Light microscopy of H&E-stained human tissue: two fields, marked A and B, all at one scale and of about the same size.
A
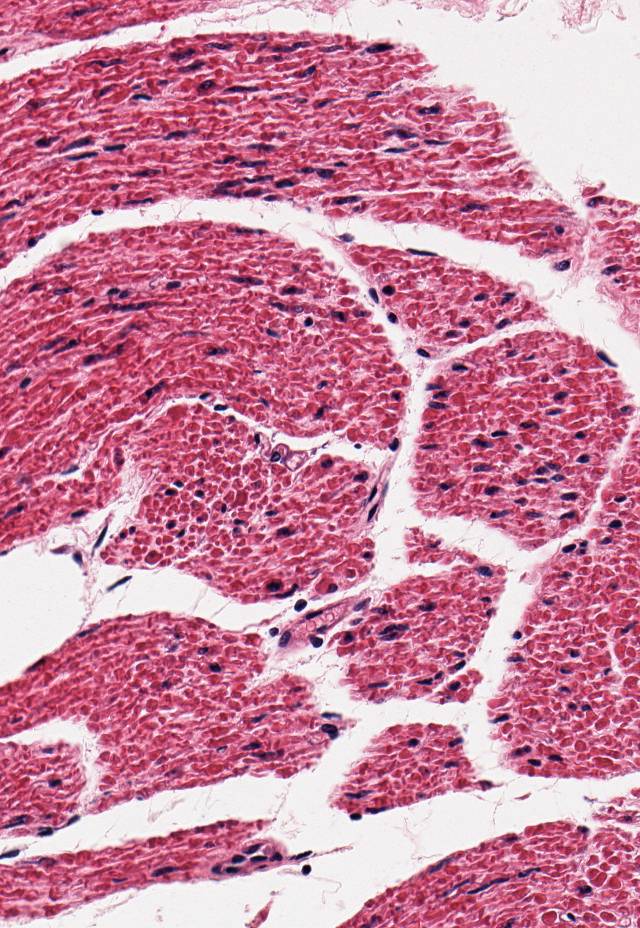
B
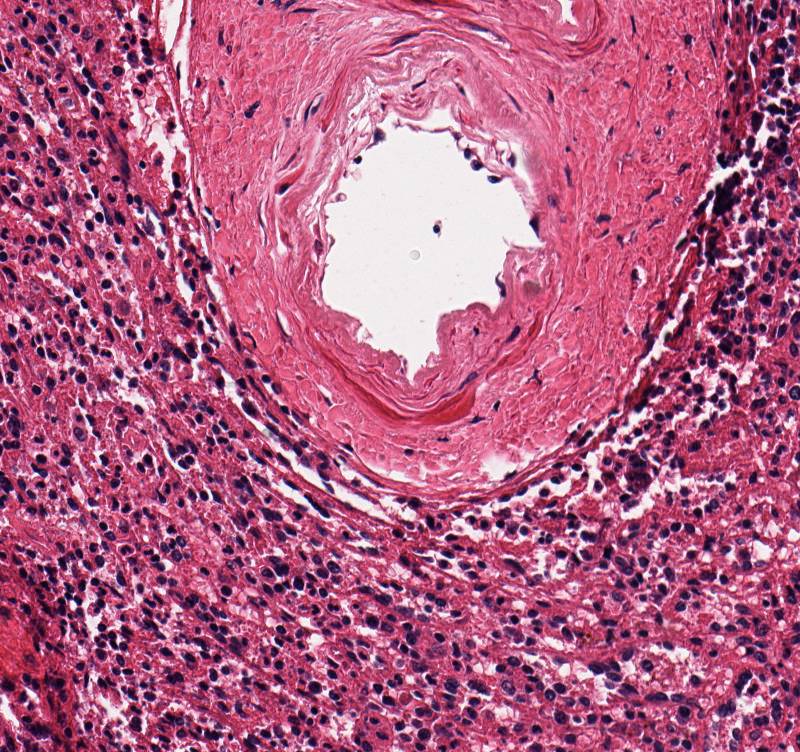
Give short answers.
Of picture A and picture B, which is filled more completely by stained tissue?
B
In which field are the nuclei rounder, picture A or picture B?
B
